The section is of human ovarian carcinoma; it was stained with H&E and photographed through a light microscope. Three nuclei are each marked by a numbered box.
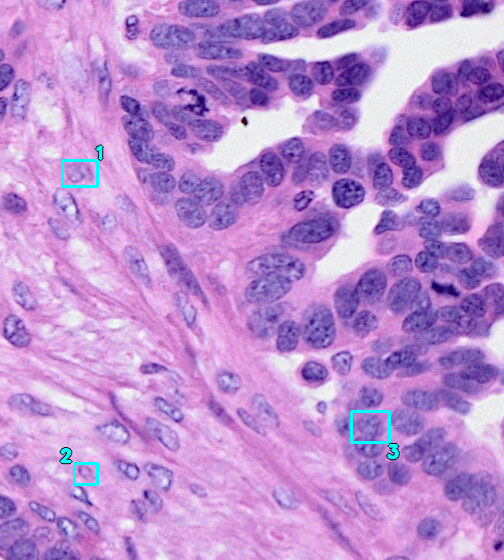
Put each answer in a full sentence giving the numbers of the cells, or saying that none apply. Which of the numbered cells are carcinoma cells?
Where the numbered cells are concerned, only number 3 is a carcinoma cell.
